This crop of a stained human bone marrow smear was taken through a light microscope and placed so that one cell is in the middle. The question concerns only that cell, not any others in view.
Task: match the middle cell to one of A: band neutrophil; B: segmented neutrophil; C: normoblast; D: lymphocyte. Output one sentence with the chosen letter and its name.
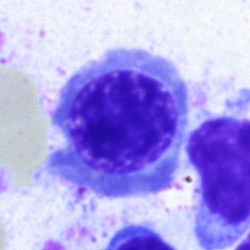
The central cell in this crop is a normoblast, so the correct choice is option C.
